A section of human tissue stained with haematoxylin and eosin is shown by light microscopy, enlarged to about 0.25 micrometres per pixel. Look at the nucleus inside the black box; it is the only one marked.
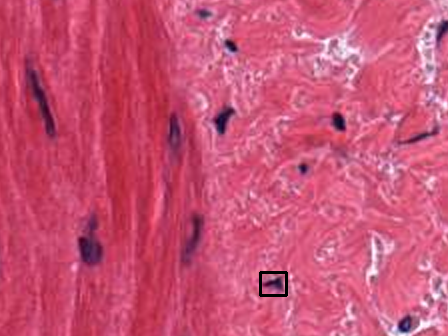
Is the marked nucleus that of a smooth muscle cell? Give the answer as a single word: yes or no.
no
